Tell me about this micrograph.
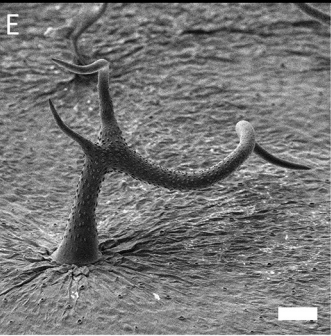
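A branched leaf trichome rises from the epidermis on a papillate stalk, but its branches are not straight: they bend and curl, and one branch hooks over at its tip. The surrounding leaf surface shows the flattened, wavy outlines of epidermal cells, with further curled trichome branches at the edge of the field.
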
